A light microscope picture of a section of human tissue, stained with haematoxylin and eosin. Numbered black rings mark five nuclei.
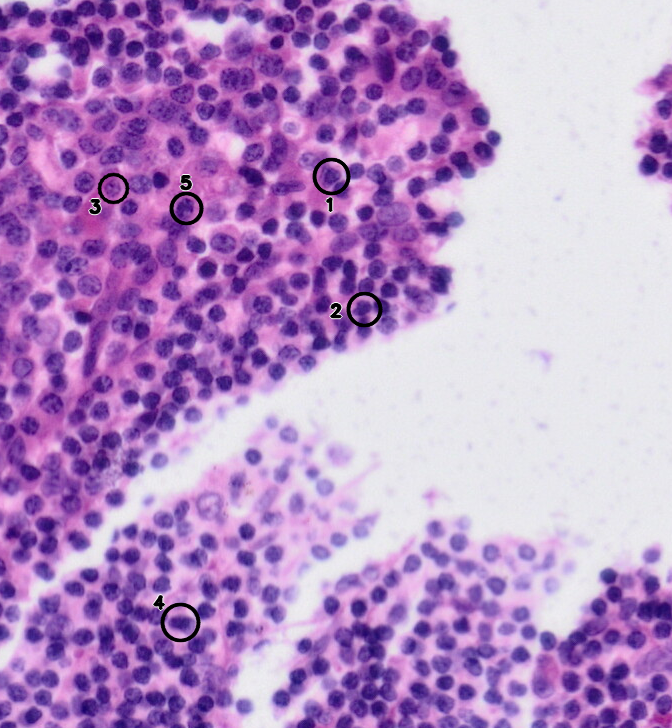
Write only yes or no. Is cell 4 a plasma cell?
no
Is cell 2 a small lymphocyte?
yes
